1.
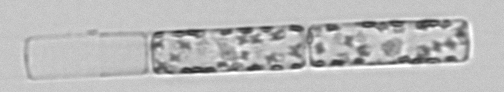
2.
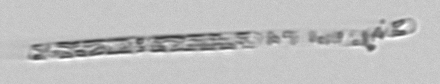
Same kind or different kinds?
Same: Leptocylindrus.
